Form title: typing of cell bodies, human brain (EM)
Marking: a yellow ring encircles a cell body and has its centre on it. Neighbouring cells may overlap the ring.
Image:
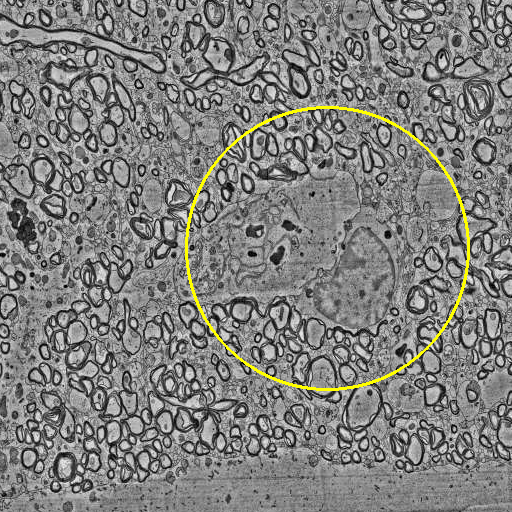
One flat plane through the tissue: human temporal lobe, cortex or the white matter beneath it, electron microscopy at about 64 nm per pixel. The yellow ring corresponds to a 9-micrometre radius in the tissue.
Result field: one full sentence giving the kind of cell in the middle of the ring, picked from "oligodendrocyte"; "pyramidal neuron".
In the picture, the ring is centred on an oligodendrocyte, whose cell body it encircles.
